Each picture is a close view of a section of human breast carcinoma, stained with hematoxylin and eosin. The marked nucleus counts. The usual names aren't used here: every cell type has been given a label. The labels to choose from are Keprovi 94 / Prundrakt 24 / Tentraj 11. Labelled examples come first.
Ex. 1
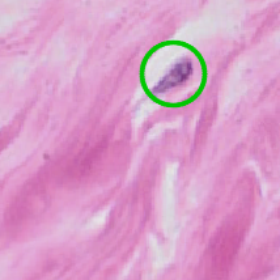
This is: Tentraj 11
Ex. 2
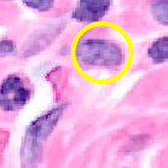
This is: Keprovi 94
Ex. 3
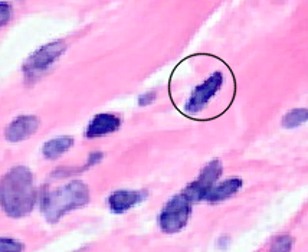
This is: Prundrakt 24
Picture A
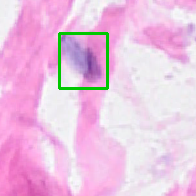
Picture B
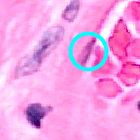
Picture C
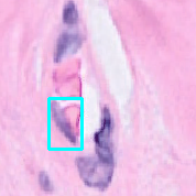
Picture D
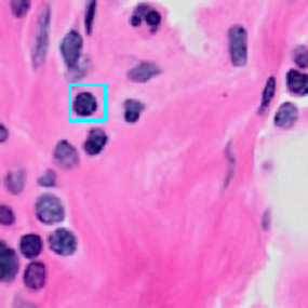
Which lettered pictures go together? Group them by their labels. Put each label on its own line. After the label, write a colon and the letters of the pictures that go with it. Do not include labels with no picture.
Keprovi 94: B, C
Prundrakt 24: D
Tentraj 11: A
